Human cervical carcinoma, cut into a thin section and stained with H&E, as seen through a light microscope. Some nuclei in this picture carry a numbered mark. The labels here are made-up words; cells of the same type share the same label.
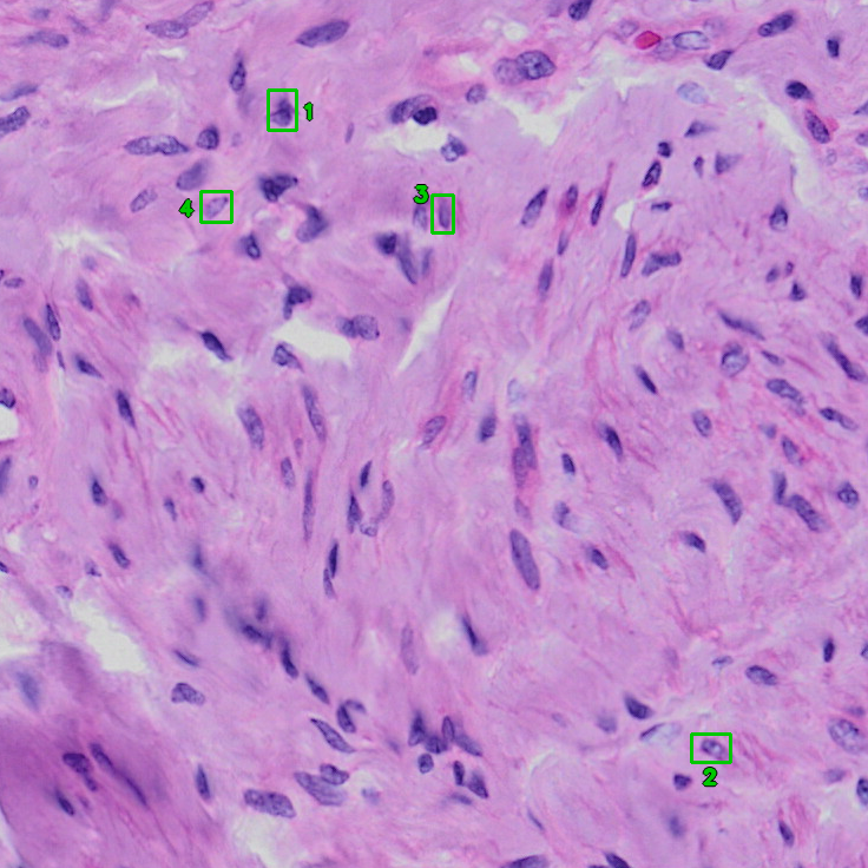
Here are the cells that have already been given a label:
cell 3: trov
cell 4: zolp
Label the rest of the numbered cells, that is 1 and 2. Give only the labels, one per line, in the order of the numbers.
zolp
trov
